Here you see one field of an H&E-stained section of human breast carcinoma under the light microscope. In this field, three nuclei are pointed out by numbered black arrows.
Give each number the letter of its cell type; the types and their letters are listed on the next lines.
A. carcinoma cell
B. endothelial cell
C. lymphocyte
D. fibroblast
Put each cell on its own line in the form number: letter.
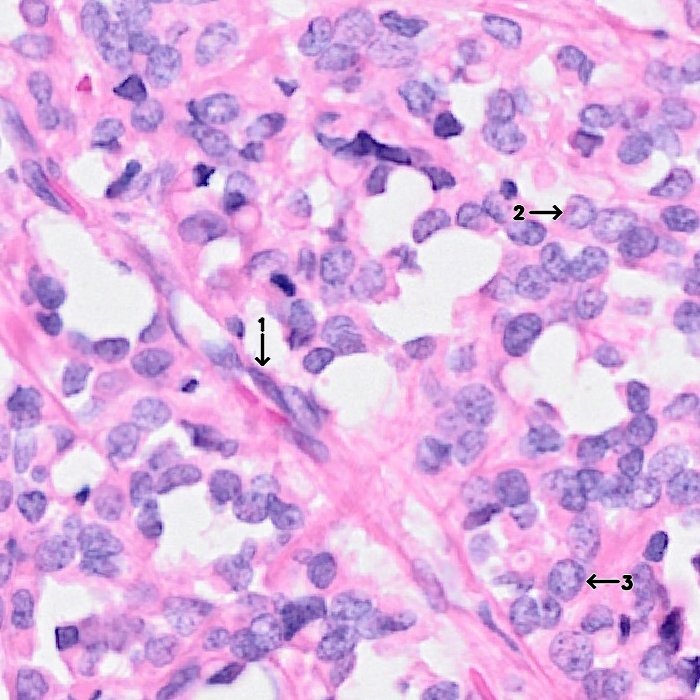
1: B
2: A
3: A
